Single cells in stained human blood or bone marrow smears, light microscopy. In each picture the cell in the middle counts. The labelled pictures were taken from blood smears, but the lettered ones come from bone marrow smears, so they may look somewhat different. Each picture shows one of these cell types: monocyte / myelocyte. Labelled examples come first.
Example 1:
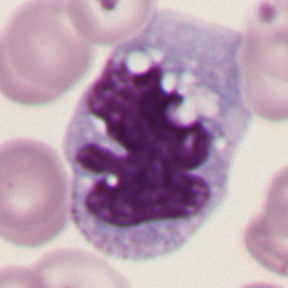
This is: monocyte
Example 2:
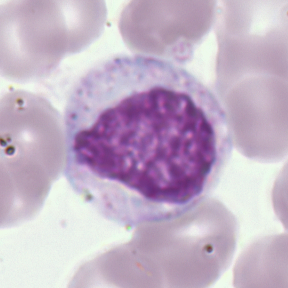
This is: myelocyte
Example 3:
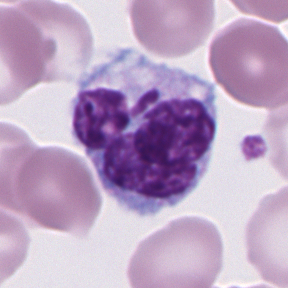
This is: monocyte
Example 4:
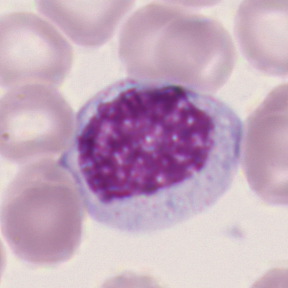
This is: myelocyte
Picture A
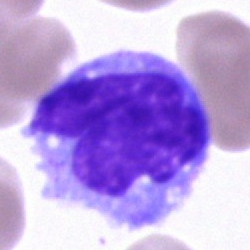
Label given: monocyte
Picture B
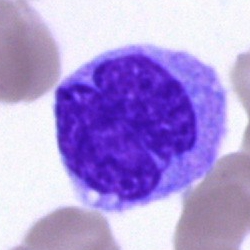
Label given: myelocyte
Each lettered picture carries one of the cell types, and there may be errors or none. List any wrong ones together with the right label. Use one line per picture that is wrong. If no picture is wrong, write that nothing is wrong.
Wrong: B (myelocyte); correct: monocyte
